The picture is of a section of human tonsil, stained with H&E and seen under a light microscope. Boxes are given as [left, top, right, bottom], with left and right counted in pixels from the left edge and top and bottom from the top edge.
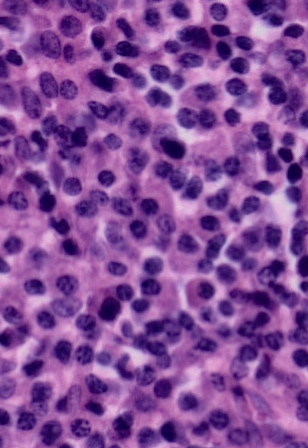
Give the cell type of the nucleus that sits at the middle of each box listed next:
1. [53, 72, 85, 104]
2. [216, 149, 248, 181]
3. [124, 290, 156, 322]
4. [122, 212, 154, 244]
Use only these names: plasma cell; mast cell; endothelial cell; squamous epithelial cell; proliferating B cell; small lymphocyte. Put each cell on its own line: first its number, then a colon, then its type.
1: plasma cell
2: plasma cell
3: small lymphocyte
4: plasma cell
